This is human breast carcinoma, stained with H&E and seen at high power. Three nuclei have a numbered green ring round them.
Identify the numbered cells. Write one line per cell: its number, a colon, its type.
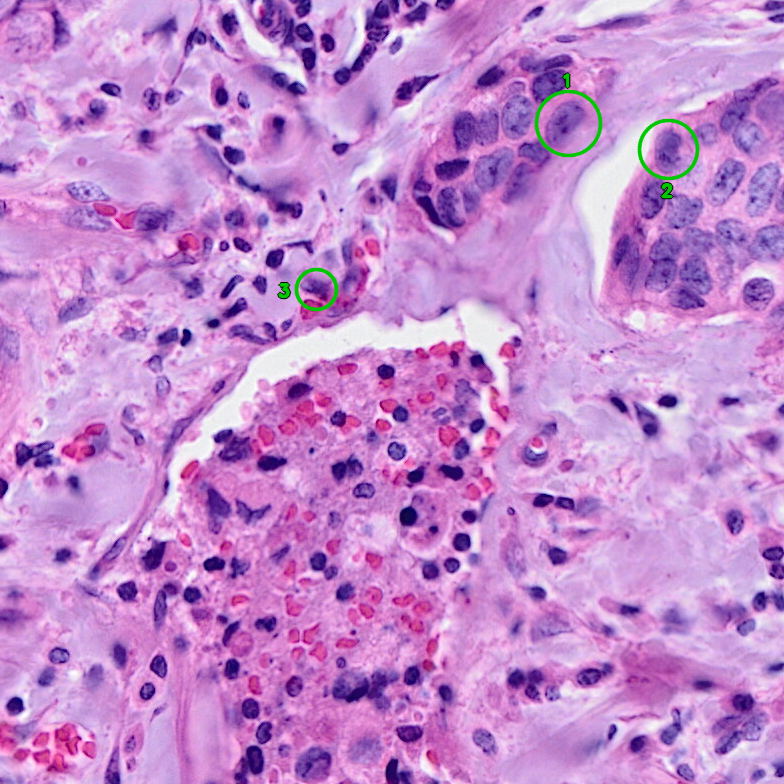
1: carcinoma cell
2: carcinoma cell
3: endothelial cell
